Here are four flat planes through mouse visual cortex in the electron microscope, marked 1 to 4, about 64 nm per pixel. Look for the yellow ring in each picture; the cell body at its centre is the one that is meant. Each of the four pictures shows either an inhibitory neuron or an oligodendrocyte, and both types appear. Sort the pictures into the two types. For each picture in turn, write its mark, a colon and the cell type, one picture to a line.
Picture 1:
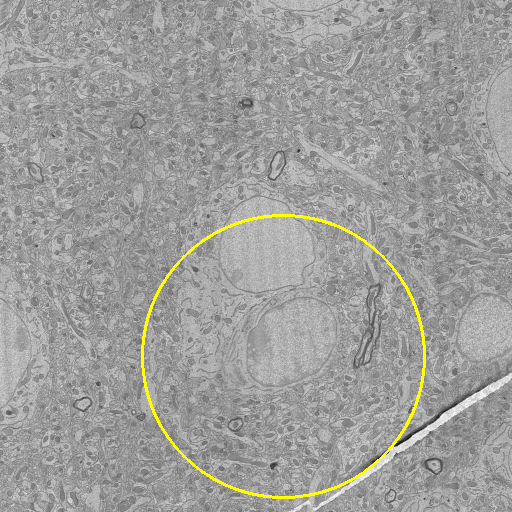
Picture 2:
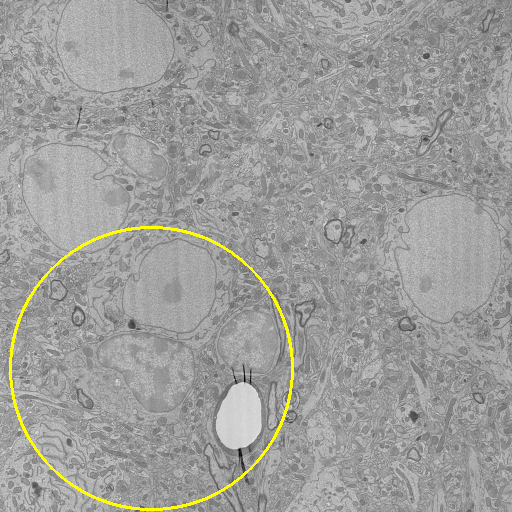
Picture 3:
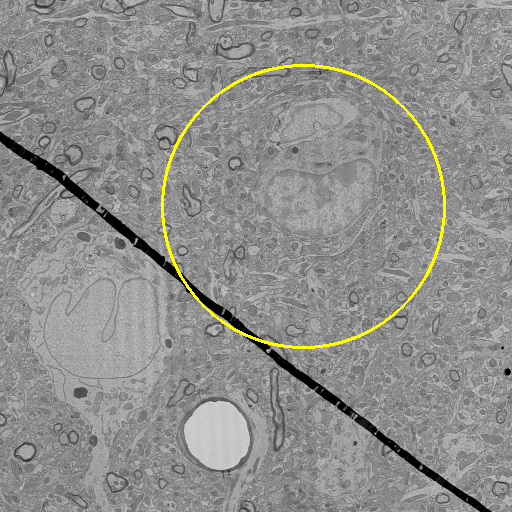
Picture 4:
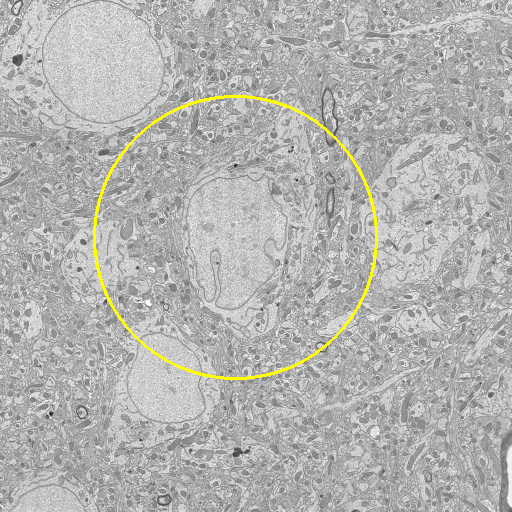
1: oligodendrocyte
2: oligodendrocyte
3: oligodendrocyte
4: inhibitory neuron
